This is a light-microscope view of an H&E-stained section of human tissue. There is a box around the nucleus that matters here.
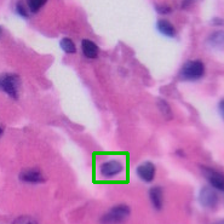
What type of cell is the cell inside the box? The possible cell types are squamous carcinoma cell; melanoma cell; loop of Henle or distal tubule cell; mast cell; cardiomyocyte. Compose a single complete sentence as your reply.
In this tissue sample, the cell inside the box is a mast cell.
